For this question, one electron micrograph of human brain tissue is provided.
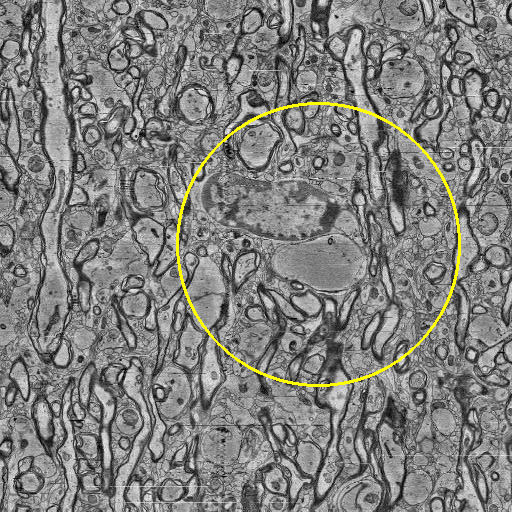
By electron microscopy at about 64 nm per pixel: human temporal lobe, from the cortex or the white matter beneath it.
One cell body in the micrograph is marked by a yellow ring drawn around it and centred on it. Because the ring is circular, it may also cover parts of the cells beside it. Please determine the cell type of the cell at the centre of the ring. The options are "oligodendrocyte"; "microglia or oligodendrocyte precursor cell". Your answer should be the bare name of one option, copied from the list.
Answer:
microglia or oligodendrocyte precursor cell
